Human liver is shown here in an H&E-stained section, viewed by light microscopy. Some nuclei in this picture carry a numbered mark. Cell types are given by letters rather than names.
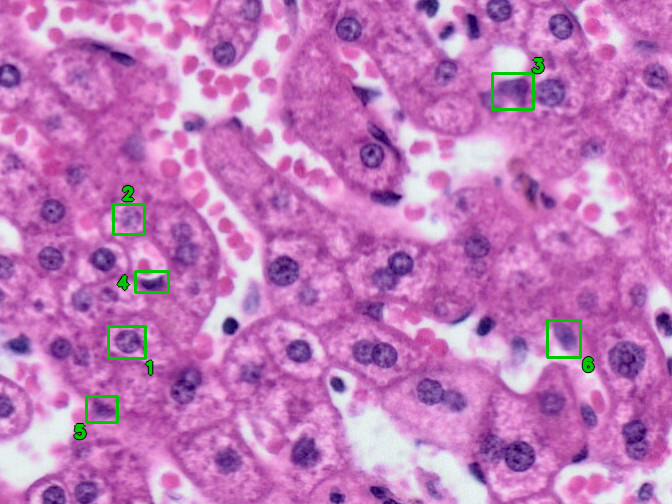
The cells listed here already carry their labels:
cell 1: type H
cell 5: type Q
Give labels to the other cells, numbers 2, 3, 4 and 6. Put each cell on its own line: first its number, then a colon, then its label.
2: type H
3: type Q
4: type Q
6: type Q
